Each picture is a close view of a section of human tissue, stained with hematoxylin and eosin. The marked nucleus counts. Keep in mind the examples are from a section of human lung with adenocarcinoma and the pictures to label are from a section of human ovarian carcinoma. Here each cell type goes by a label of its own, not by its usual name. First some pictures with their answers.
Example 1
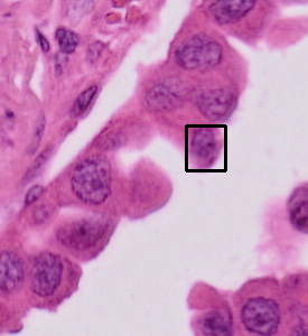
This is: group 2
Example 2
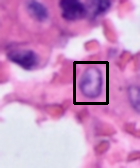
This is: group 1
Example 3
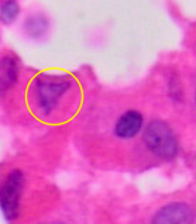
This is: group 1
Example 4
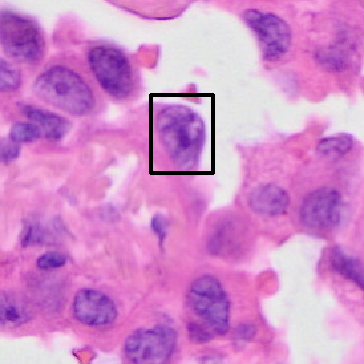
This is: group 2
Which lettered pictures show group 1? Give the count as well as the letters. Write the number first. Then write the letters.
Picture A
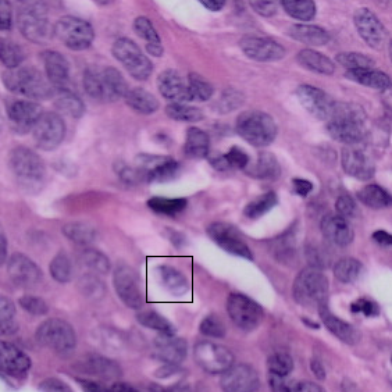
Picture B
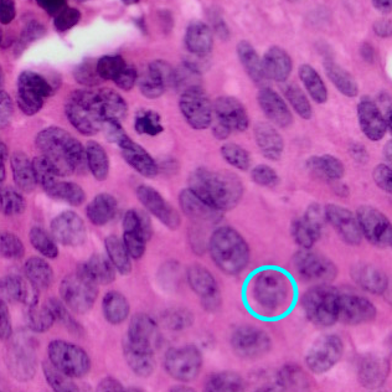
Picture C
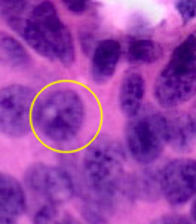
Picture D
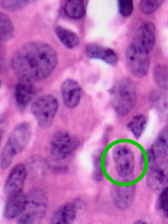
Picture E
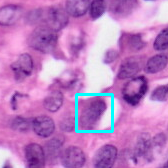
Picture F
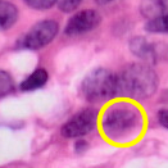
2: A, D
